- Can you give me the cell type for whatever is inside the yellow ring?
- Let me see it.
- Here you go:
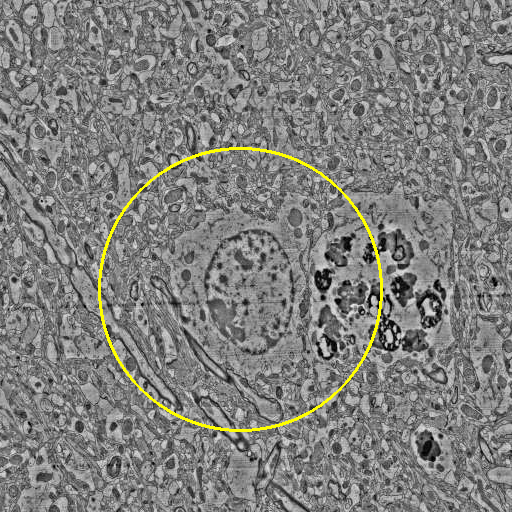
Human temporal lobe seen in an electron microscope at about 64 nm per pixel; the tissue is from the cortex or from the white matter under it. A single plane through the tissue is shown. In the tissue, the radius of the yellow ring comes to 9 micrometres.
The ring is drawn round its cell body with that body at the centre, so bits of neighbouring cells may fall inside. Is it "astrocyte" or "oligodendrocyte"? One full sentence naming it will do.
The cell body in the middle of the ring in this picture belongs to an astrocyte.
